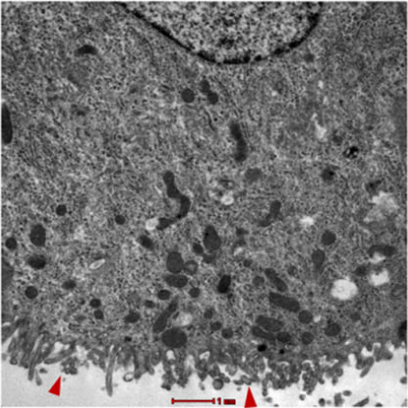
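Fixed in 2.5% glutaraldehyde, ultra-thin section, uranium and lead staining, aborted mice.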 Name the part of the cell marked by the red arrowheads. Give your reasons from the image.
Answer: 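Short slender projections line the lower free surface of the cell. The arrowheads point to these projections at the lumen border.
Hence: microvilli.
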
